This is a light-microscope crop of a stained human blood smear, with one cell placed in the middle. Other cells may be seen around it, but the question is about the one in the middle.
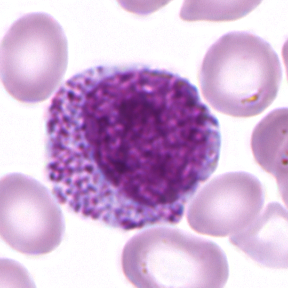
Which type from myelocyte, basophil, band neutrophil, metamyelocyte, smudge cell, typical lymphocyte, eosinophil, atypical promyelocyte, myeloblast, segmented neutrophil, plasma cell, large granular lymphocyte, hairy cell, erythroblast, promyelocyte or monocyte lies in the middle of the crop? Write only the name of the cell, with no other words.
myelocyte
